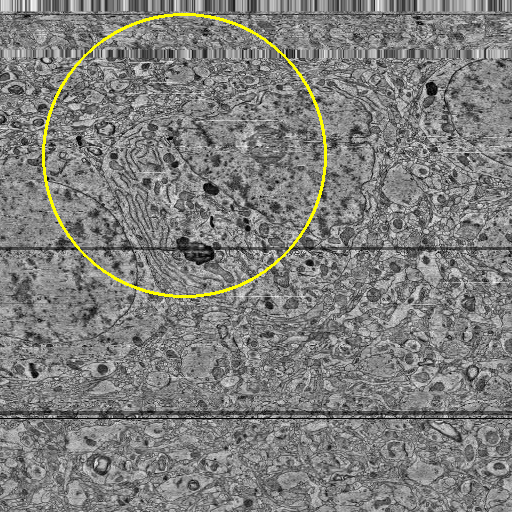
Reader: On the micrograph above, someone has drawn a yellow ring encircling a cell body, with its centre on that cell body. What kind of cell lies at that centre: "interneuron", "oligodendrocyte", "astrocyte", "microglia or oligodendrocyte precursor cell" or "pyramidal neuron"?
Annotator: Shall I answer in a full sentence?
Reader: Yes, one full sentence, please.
Here an interneuron sits at the centre of the yellow ring drawn on the micrograph.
